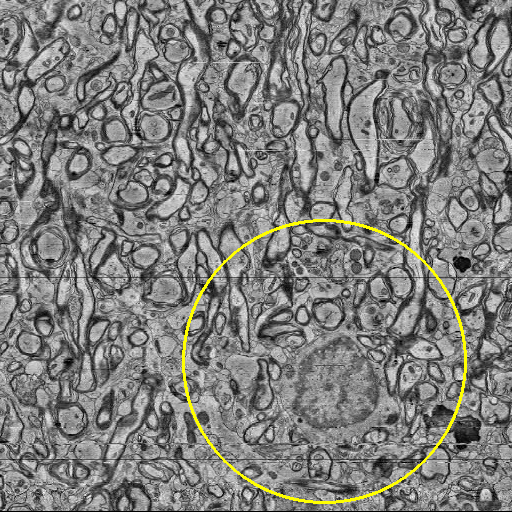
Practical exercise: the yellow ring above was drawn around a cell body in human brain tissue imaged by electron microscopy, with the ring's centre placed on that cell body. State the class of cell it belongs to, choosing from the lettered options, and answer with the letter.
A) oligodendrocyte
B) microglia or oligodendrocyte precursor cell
A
